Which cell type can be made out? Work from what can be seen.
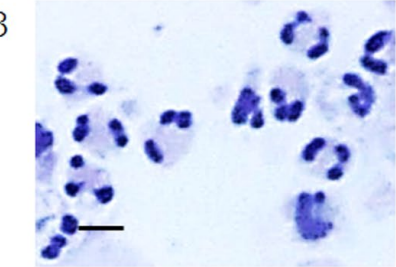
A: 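Cytoplasm is pale and lightly stained around the lobed nuclei. Cells are round and of similar size, lying singly or in small groups.
Answer: neutrophils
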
